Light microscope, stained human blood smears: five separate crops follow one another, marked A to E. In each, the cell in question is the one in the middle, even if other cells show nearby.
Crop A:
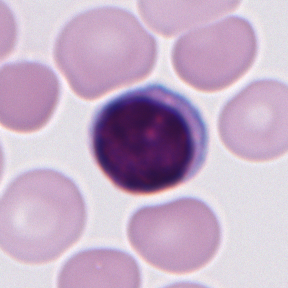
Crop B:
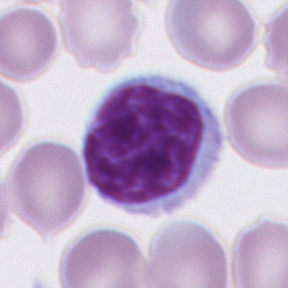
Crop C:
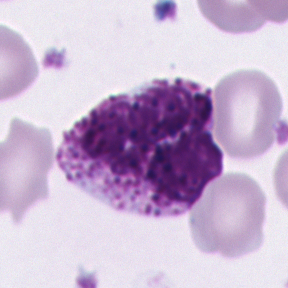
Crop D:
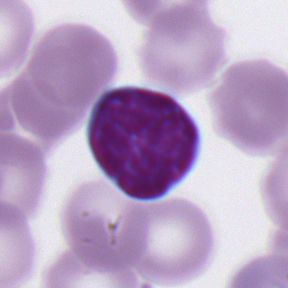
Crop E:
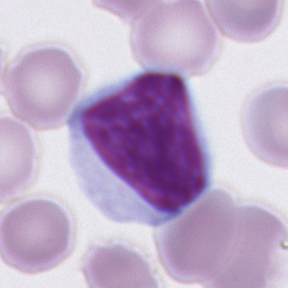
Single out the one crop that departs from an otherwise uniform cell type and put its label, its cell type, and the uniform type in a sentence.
What sets crop C apart is that it shows a basophil, while the others show typical lymphocytes.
